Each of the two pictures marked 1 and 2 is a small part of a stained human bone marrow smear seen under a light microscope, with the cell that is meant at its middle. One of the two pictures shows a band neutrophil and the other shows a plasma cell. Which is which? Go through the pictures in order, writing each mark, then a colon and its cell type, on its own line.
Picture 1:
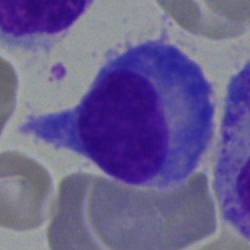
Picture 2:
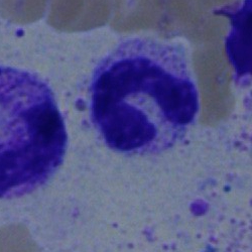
1: plasma cell
2: band neutrophil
